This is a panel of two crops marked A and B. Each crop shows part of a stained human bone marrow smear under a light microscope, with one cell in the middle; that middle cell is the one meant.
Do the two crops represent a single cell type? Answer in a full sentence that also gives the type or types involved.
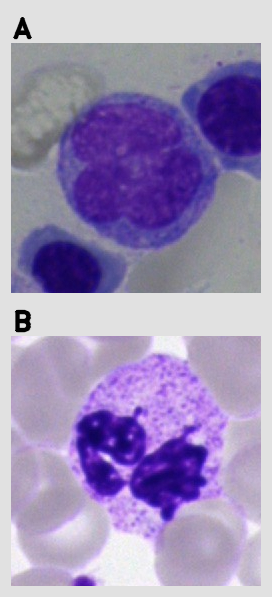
No, that is not right; crop A shows a monocyte and crop B shows a segmented neutrophil.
